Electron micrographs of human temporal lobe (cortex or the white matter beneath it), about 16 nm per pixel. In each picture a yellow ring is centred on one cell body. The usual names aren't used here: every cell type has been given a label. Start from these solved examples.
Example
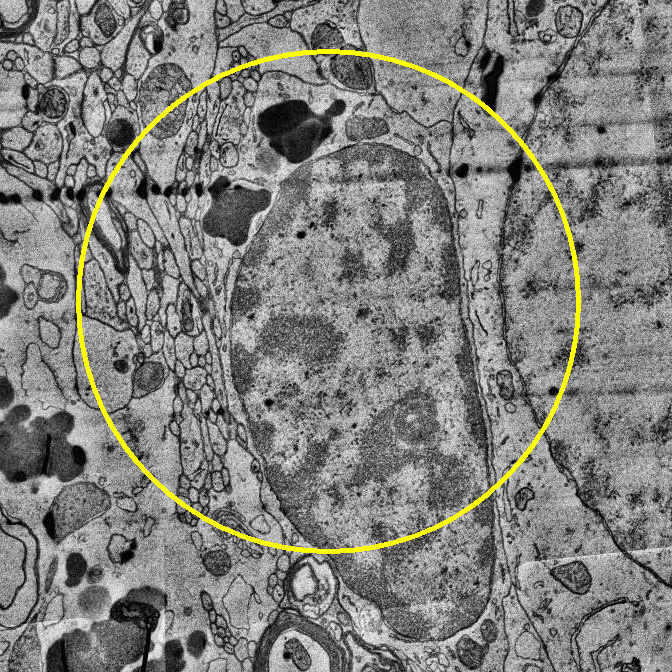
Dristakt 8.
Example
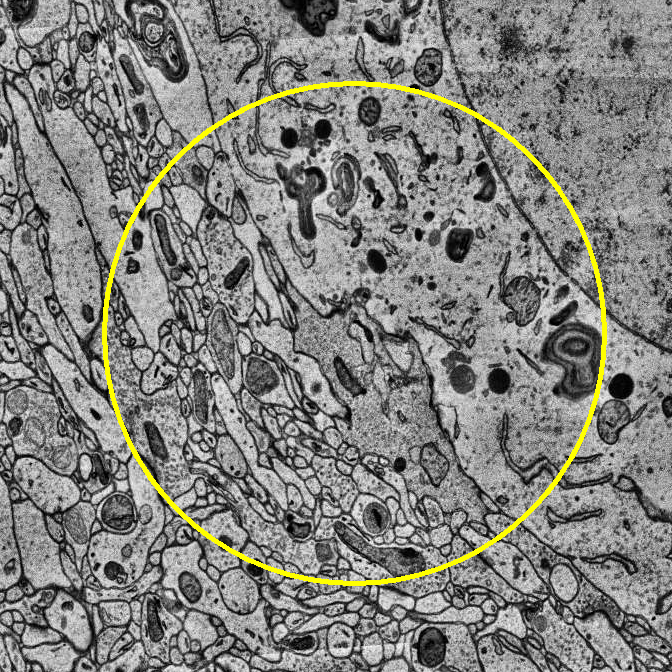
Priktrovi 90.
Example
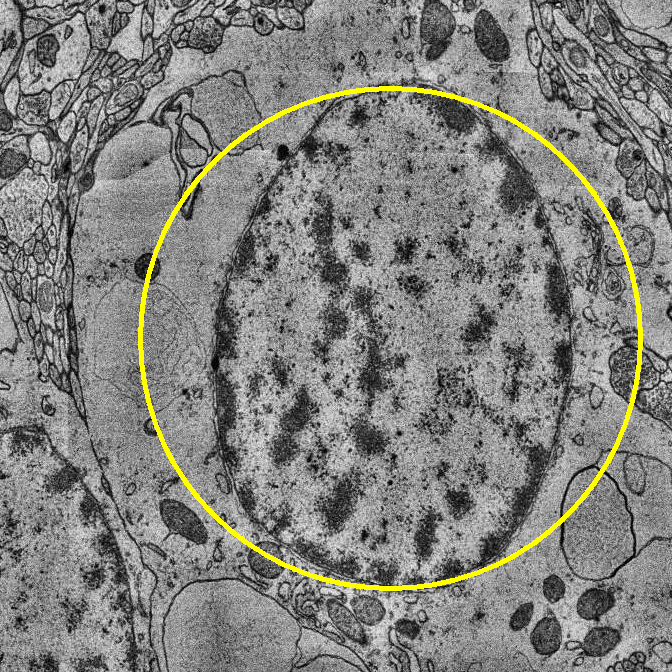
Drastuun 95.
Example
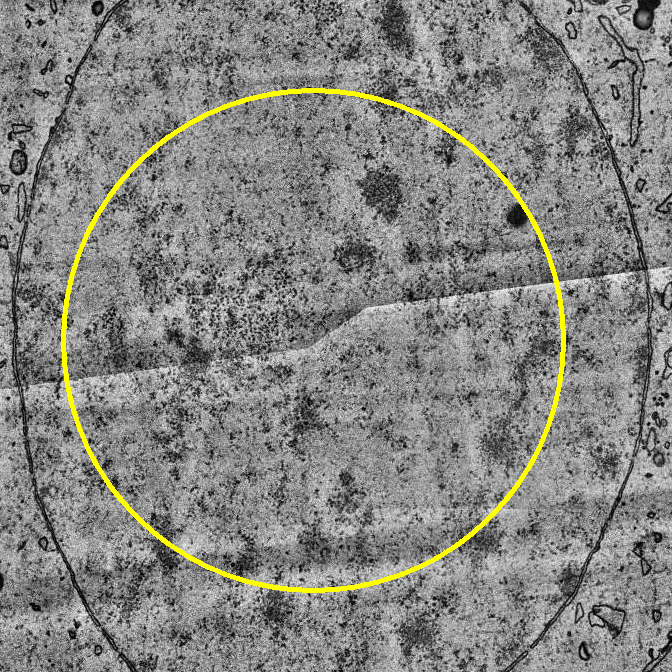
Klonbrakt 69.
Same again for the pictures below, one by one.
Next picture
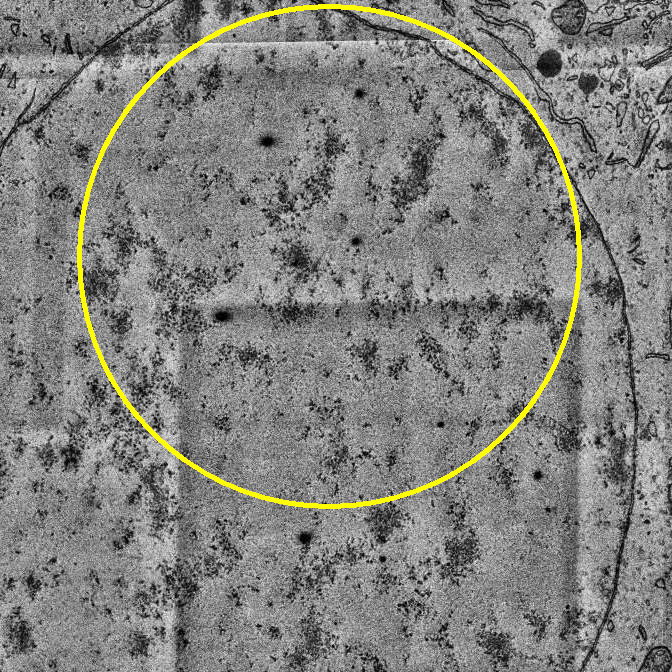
Klonbrakt 69.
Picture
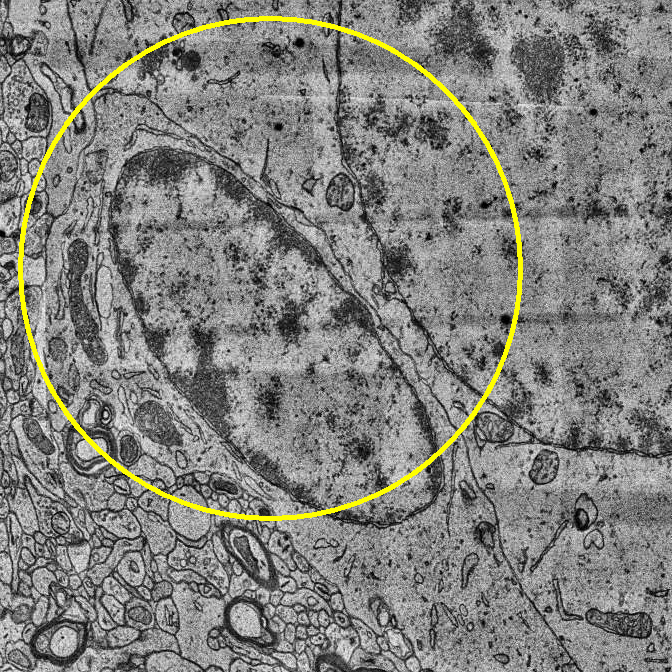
Dristakt 8.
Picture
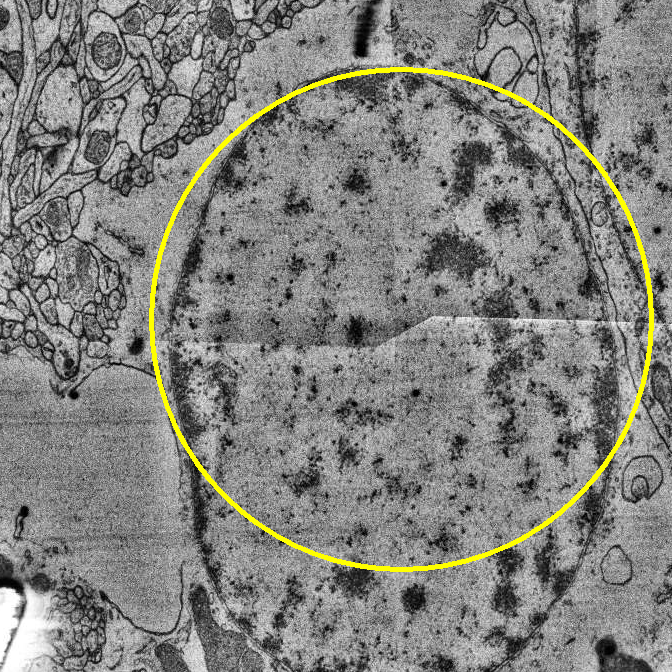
Drastuun 95.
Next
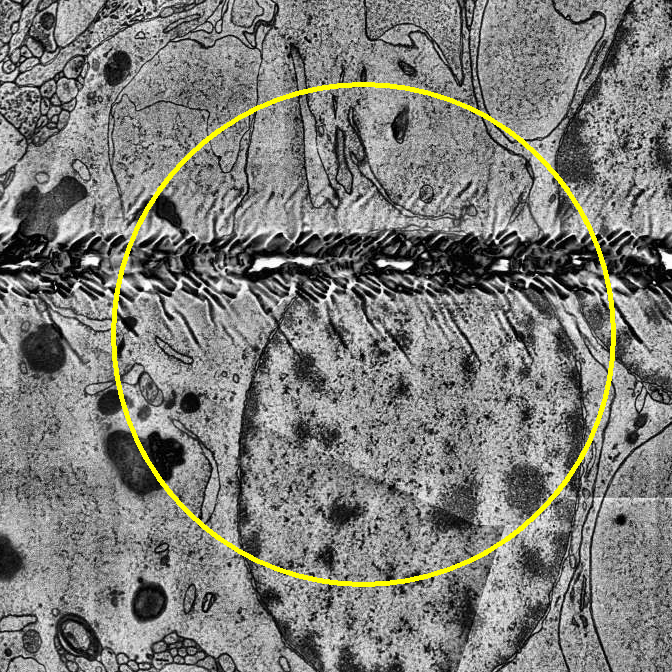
Drastuun 95.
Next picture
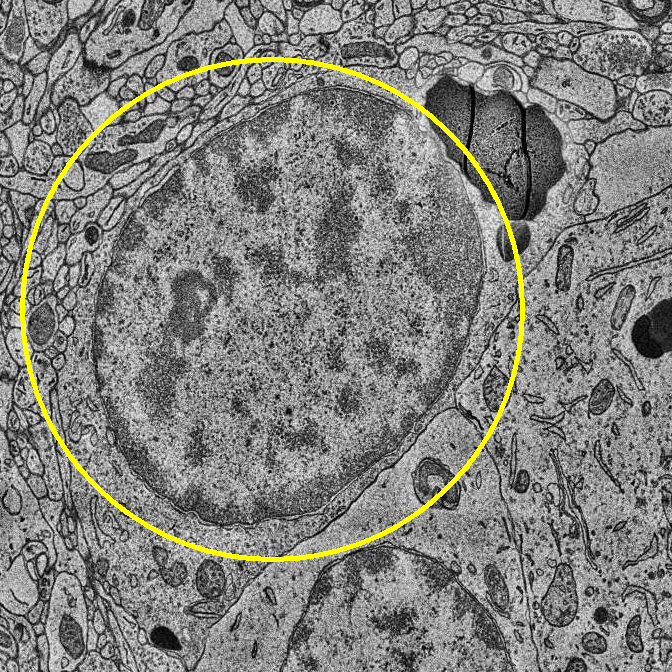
Priktrovi 90.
